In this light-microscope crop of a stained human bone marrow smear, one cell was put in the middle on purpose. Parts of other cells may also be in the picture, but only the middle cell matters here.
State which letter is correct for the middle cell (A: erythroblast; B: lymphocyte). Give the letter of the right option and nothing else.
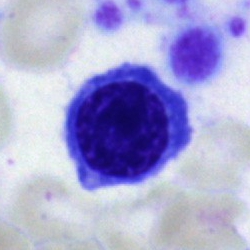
A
